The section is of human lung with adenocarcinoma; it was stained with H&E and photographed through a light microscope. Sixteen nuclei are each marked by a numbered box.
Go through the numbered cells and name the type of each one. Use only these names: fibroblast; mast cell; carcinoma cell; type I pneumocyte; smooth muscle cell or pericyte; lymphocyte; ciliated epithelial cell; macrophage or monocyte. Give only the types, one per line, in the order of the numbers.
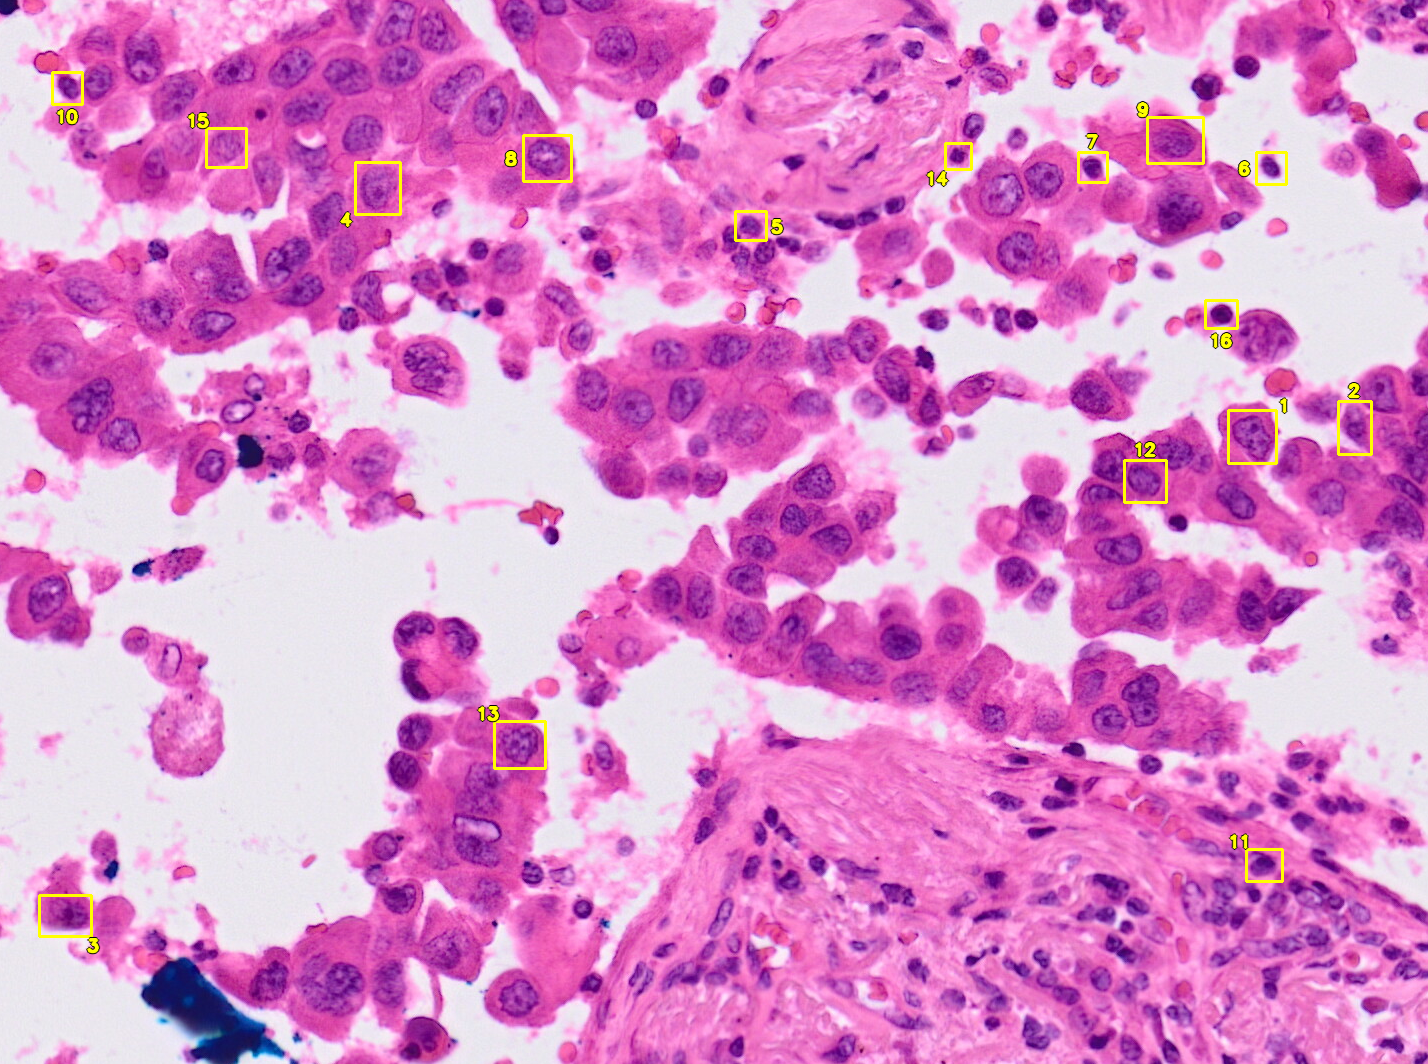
carcinoma cell
carcinoma cell
carcinoma cell
carcinoma cell
lymphocyte
lymphocyte
lymphocyte
carcinoma cell
carcinoma cell
lymphocyte
lymphocyte
carcinoma cell
carcinoma cell
lymphocyte
carcinoma cell
lymphocyte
